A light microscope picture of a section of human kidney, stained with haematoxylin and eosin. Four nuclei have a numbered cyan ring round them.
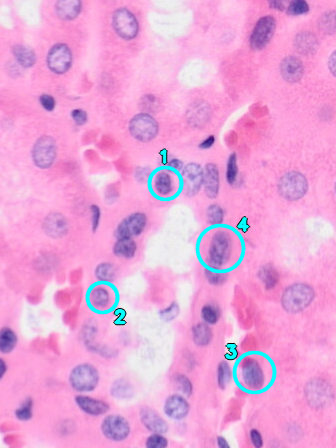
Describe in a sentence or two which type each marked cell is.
Cell 1 is a collecting duct cell, cell 2 is a collecting duct cell, cell 3 is an endothelial cell and cell 4 is a collecting duct cell.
